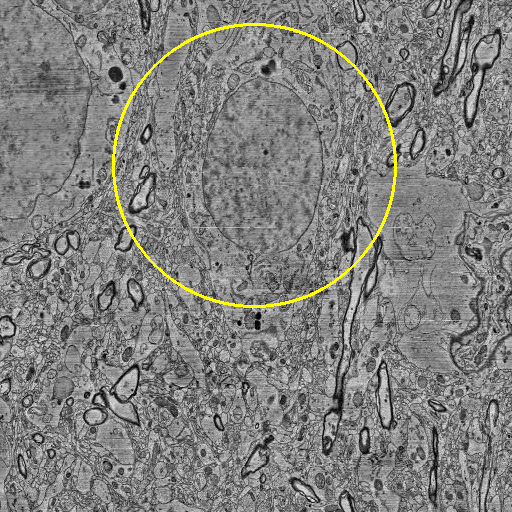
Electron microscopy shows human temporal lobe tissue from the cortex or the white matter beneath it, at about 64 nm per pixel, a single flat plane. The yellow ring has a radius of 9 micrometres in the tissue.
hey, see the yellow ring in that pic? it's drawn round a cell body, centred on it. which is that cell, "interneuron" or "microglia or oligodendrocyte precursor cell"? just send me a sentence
The cell in the ring is an interneuron.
